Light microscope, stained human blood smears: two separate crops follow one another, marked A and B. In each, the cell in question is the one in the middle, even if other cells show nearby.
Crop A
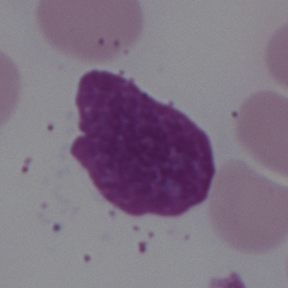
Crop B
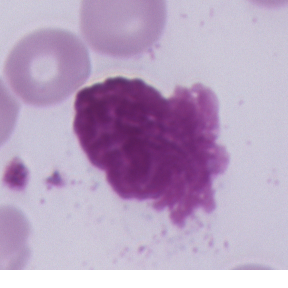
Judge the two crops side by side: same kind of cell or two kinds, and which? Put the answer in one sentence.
Yes, the middle cells in both crops are indeed smudge cells.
